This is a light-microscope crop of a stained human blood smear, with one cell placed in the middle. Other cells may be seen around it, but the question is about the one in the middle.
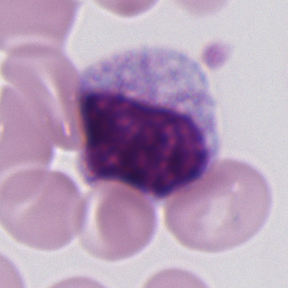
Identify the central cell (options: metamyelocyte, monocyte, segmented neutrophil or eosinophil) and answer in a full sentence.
The cell under consideration, at the middle of the crop, is a metamyelocyte.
